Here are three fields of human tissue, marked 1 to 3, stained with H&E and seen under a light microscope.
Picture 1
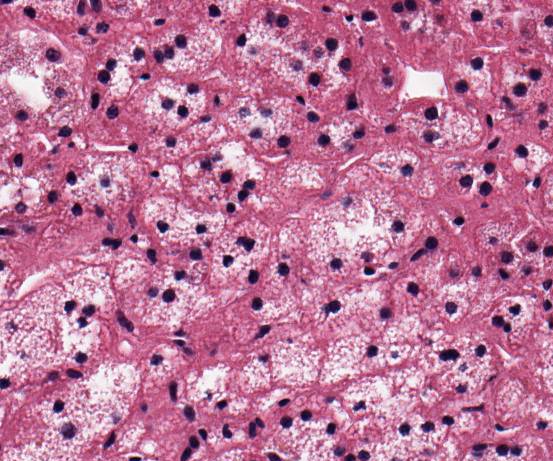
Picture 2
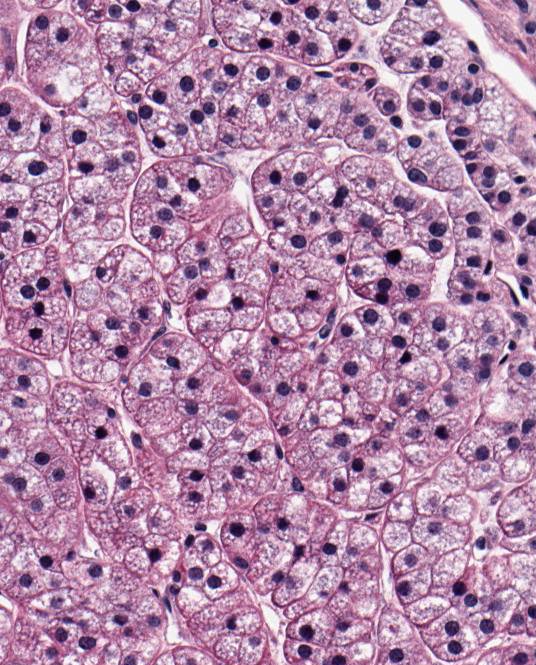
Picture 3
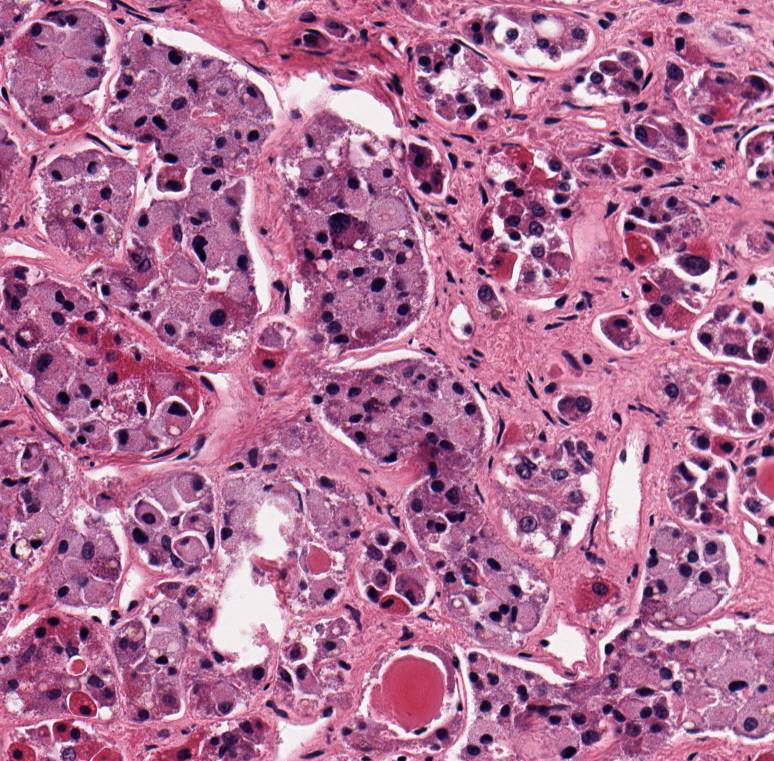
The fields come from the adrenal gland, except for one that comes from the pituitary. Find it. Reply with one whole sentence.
Picture 3 is the field that comes from the pituitary.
